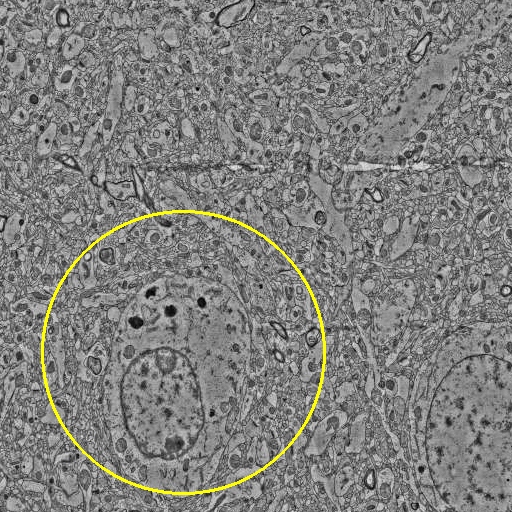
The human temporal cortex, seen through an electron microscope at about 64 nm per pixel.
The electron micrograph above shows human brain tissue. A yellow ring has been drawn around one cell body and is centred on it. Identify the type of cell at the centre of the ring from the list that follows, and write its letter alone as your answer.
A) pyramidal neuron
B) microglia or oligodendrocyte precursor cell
A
